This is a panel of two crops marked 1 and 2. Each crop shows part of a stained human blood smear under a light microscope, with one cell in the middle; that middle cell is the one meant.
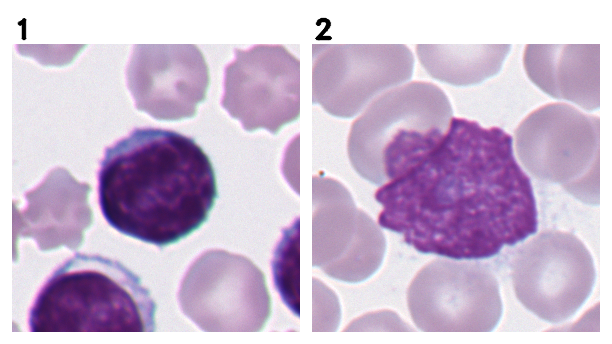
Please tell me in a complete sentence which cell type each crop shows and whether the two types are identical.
No, a typical lymphocyte is shown in crop 1 and a smudge cell in crop 2.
